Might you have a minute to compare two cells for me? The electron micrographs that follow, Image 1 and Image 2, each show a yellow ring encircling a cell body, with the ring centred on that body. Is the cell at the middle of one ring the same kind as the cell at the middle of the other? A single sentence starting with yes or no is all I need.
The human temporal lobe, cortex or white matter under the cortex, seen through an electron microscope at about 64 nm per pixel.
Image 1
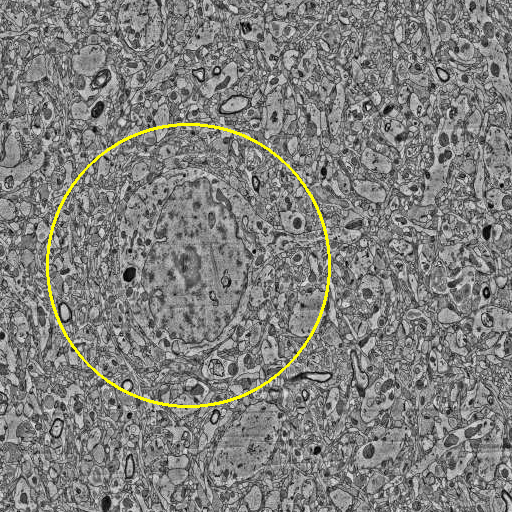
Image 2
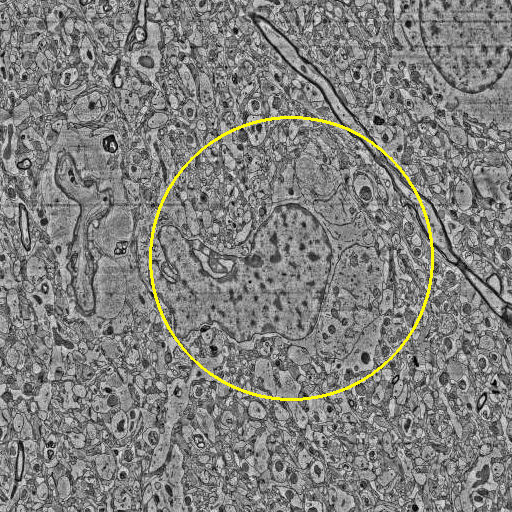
No, the cells in the middle of the two rings are of two separate kinds.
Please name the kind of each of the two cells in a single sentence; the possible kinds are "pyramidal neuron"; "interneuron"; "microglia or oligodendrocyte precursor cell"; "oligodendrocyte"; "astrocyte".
In the first picture the ring is centred on an interneuron, and in the second on a microglial cell or oligodendrocyte precursor cell.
